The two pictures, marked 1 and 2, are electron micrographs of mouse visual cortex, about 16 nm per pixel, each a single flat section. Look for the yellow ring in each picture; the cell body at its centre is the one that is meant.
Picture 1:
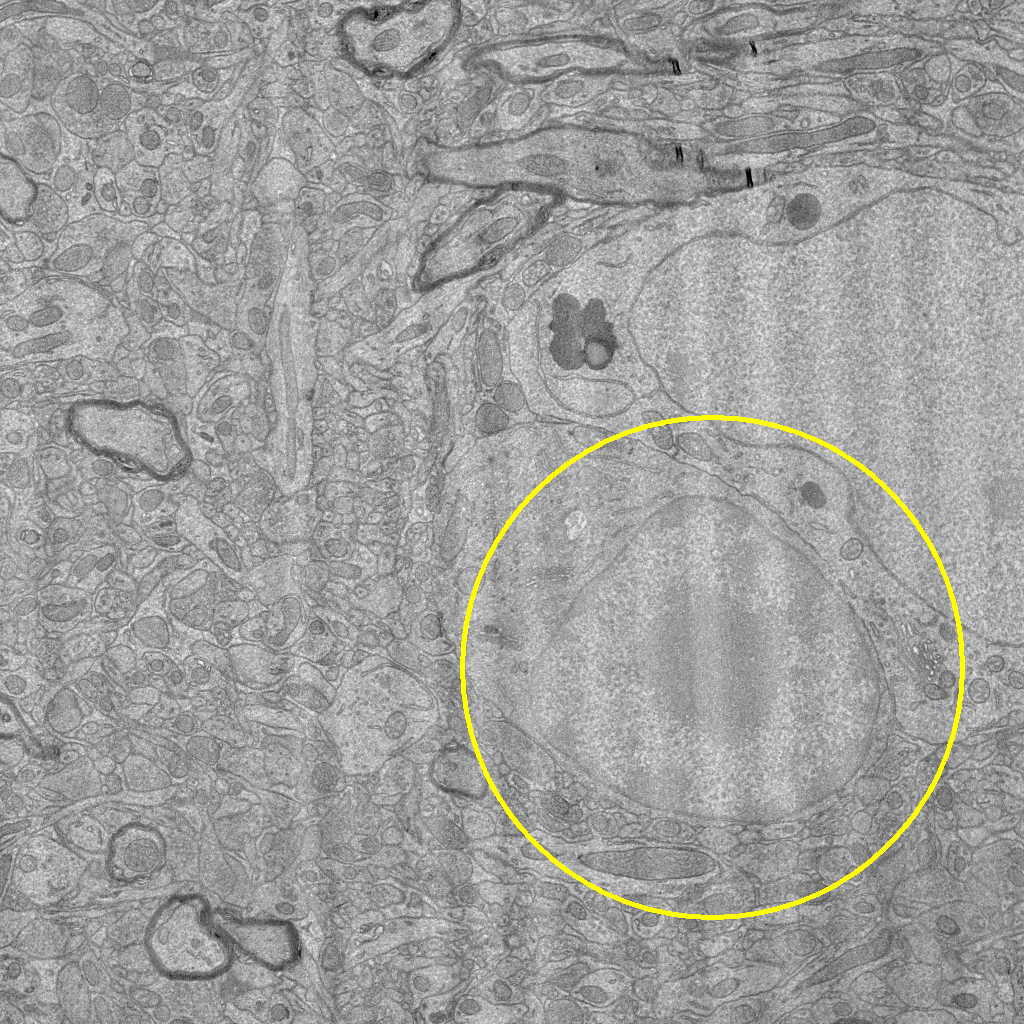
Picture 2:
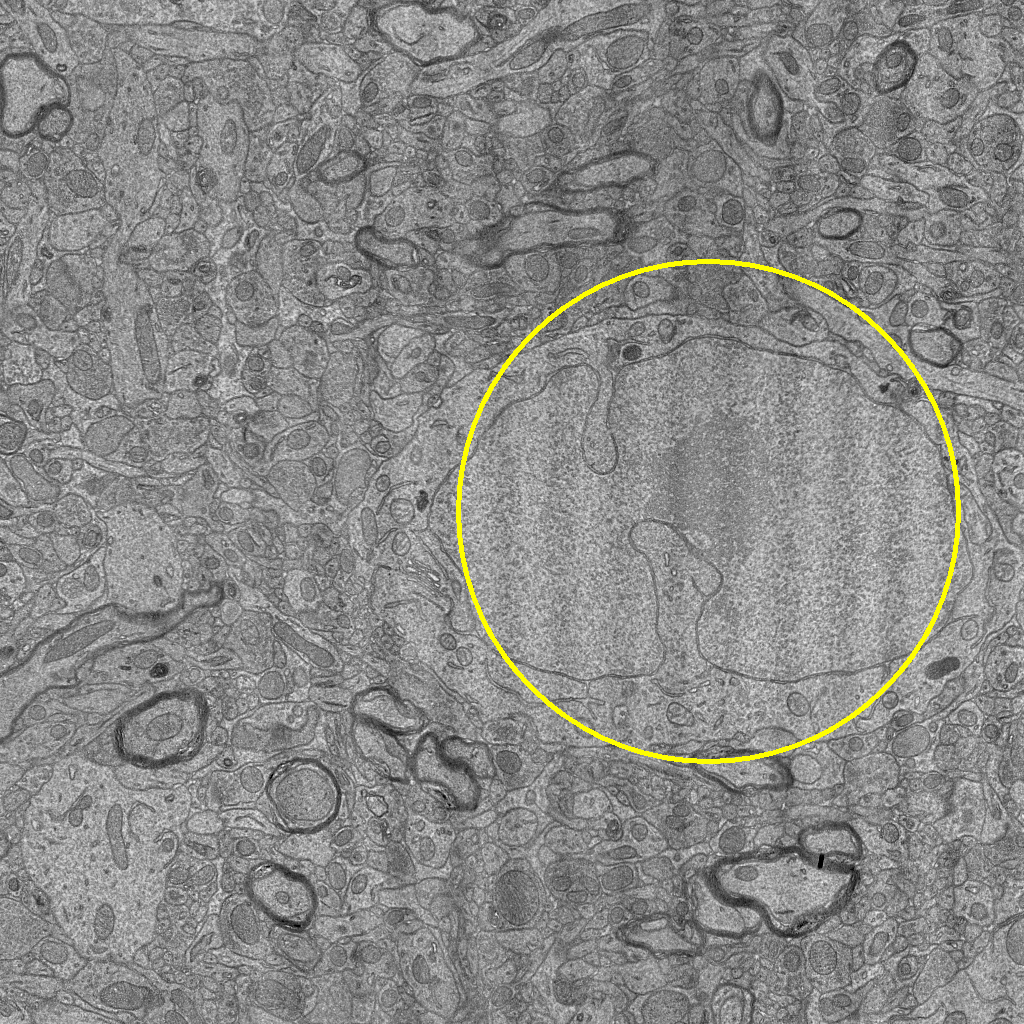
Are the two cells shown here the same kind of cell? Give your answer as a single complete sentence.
No. Picture 1 shows an oligodendrocyte, but picture 2 shows an inhibitory neuron.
